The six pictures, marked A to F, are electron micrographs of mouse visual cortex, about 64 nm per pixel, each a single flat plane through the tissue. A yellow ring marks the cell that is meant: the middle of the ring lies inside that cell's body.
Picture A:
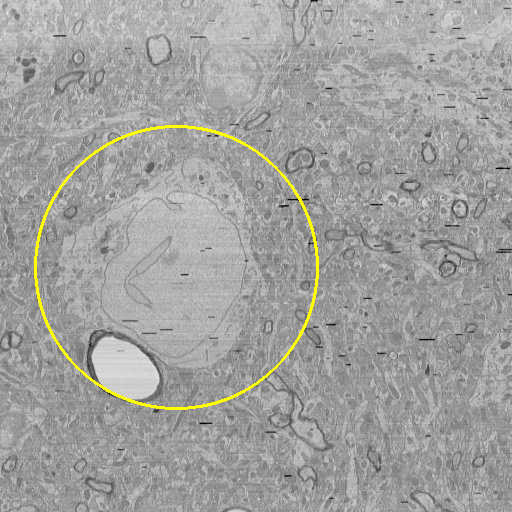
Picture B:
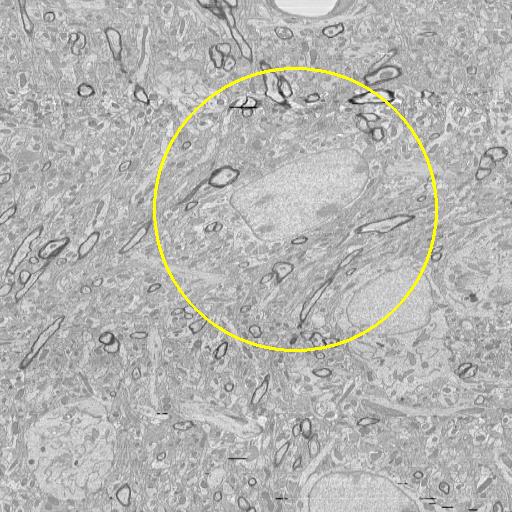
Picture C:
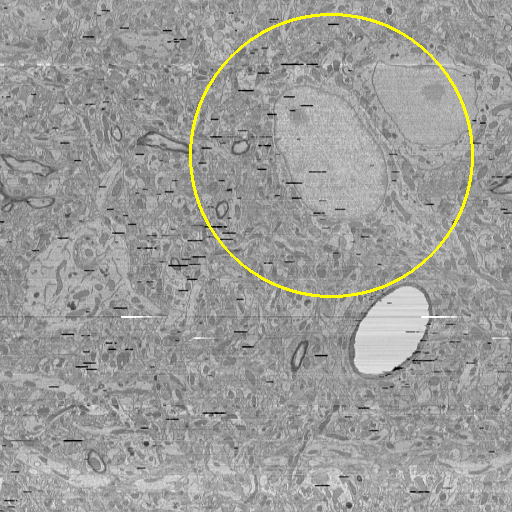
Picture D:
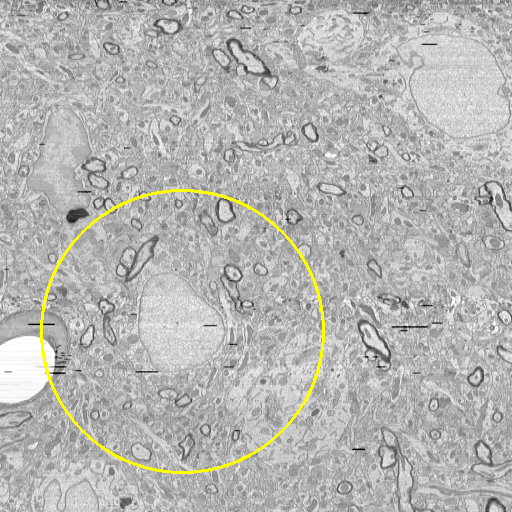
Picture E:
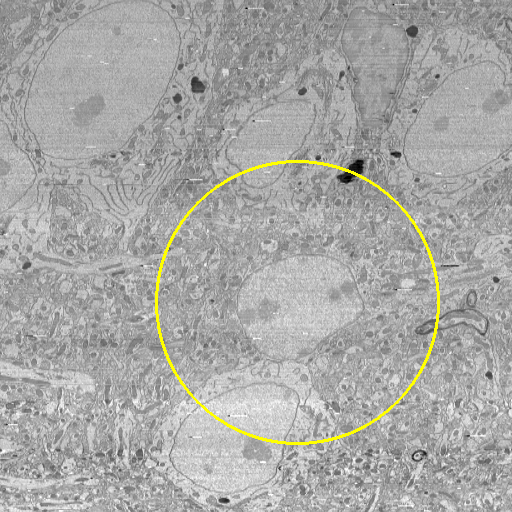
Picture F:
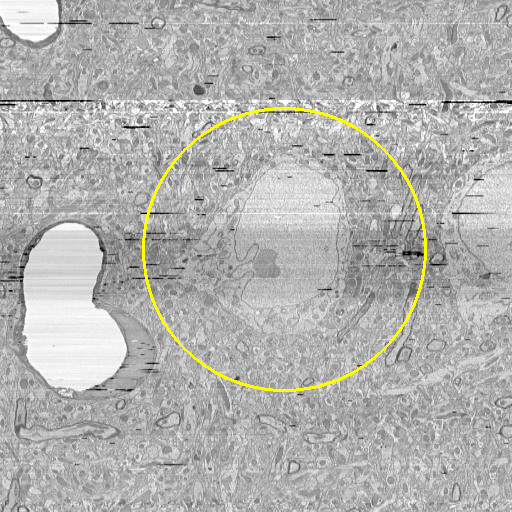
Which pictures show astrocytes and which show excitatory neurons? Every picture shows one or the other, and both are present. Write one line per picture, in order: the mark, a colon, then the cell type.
A: excitatory neuron
B: astrocyte
C: astrocyte
D: astrocyte
E: astrocyte
F: excitatory neuron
